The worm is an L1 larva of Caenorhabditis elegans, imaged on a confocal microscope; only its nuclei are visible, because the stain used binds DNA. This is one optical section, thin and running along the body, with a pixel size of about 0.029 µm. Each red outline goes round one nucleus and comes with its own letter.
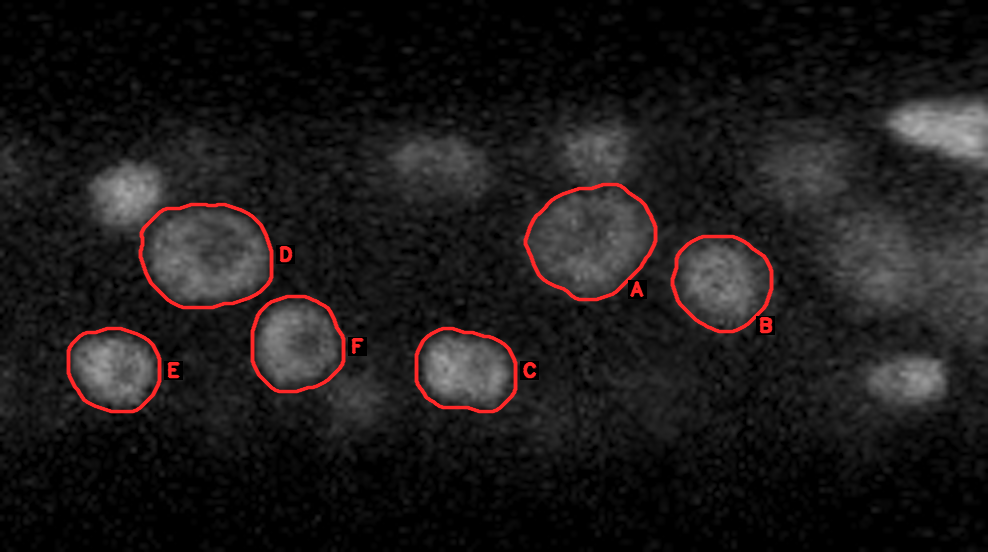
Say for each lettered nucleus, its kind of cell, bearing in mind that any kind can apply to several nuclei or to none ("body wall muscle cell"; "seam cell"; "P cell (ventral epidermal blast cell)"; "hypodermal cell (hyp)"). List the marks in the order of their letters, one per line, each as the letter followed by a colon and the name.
A: hypodermal cell (hyp)
B: seam cell
C: P cell (ventral epidermal blast cell)
D: hypodermal cell (hyp)
E: P cell (ventral epidermal blast cell)
F: seam cell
